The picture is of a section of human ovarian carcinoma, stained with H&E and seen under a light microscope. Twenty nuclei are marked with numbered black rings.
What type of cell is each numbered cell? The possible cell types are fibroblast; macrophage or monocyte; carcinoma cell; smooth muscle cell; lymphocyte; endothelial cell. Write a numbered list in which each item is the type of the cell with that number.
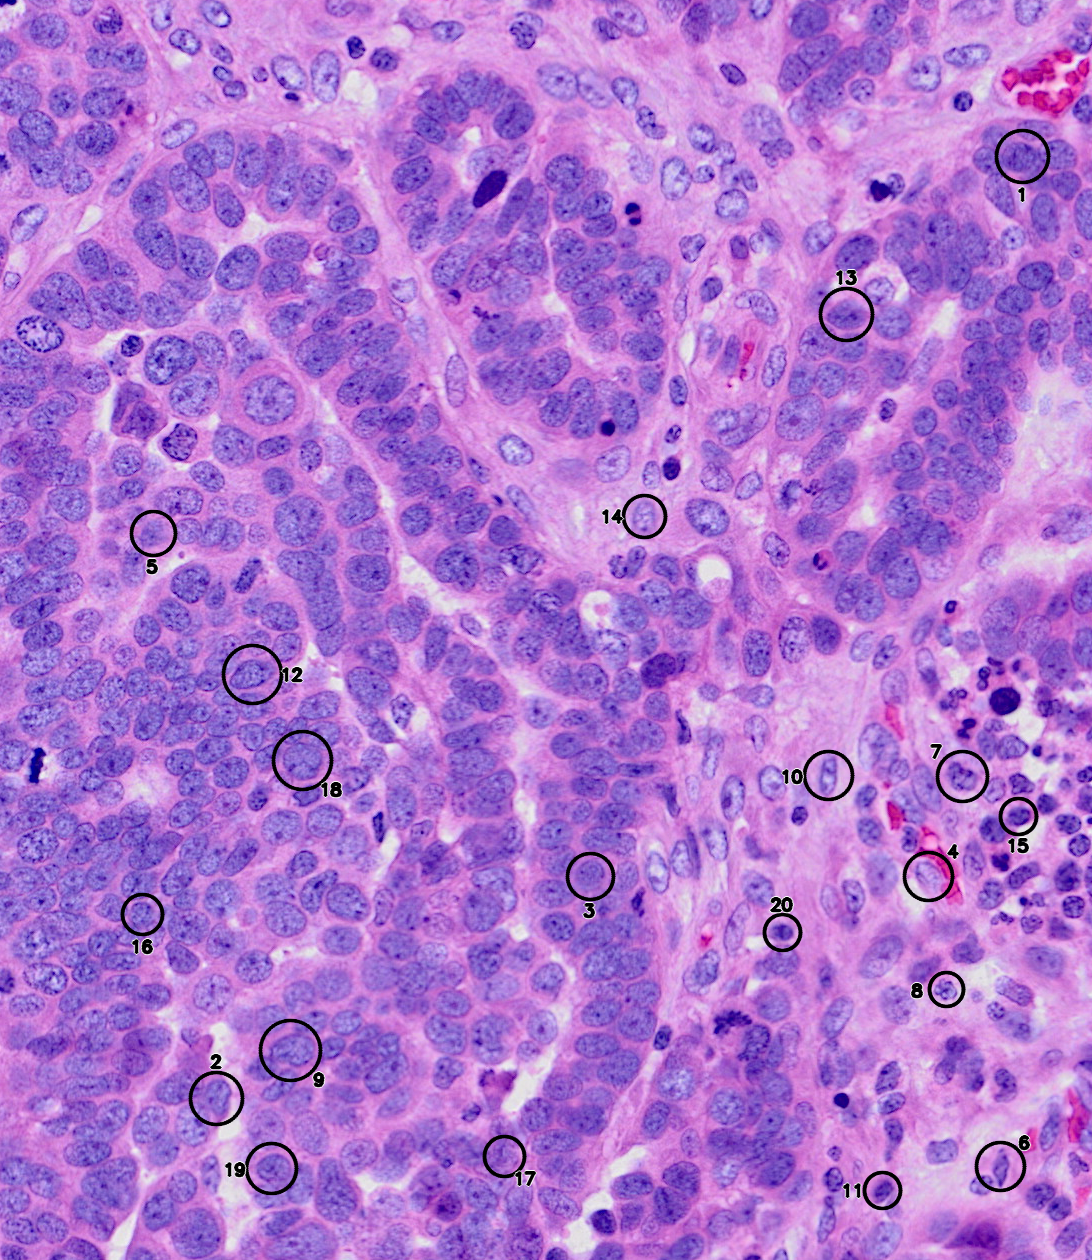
1. carcinoma cell
2. carcinoma cell
3. carcinoma cell
4. endothelial cell
5. carcinoma cell
6. macrophage or monocyte
7. macrophage or monocyte
8. lymphocyte
9. carcinoma cell
10. fibroblast
11. lymphocyte
12. carcinoma cell
13. carcinoma cell
14. fibroblast
15. lymphocyte
16. carcinoma cell
17. carcinoma cell
18. carcinoma cell
19. carcinoma cell
20. lymphocyte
